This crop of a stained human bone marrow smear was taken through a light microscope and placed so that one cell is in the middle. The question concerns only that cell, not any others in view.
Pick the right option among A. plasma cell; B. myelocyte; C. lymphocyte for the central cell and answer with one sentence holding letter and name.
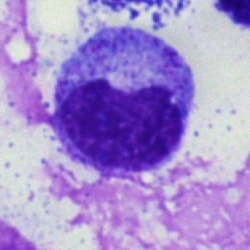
The middle of the crop contains a myelocyte, so option B is right.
